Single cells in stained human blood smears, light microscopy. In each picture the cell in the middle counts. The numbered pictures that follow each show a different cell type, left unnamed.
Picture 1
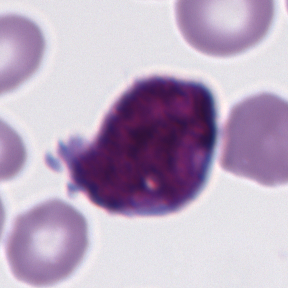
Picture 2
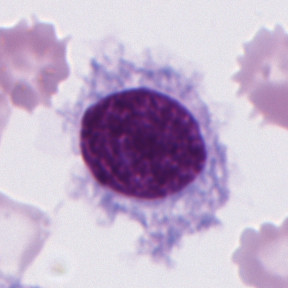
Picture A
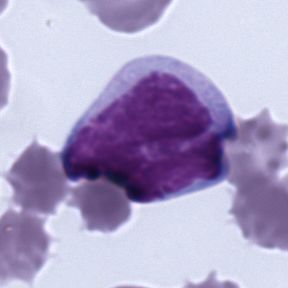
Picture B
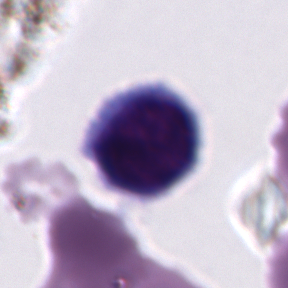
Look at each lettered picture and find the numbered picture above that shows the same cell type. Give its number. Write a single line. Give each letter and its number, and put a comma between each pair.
A 1, B 2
